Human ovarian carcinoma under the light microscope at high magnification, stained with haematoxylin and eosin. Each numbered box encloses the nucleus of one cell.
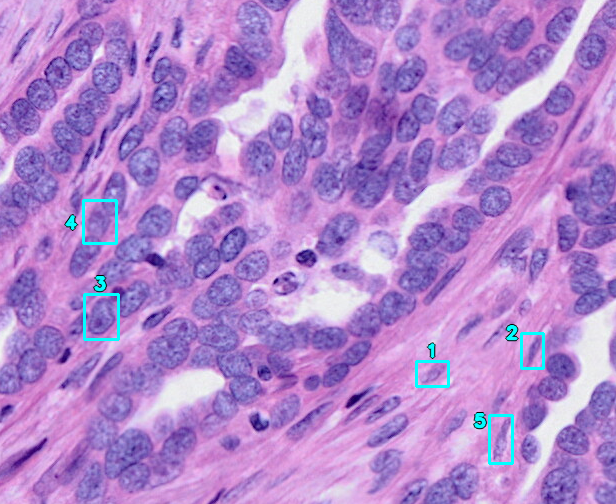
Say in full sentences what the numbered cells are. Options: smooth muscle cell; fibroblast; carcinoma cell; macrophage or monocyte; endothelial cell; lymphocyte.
Cells 1, 2 and 5 are fibroblasts. Cells 3 and 4 are carcinoma cells.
